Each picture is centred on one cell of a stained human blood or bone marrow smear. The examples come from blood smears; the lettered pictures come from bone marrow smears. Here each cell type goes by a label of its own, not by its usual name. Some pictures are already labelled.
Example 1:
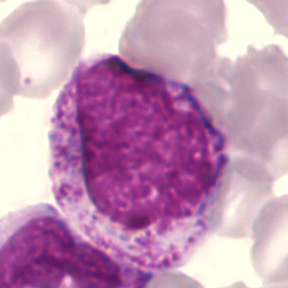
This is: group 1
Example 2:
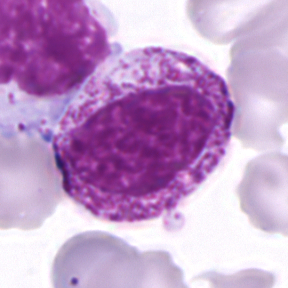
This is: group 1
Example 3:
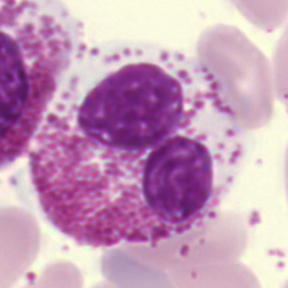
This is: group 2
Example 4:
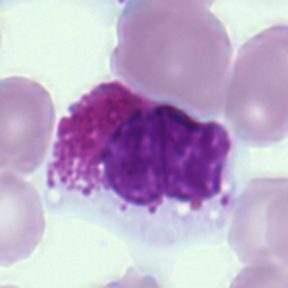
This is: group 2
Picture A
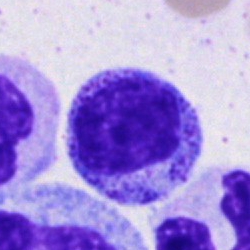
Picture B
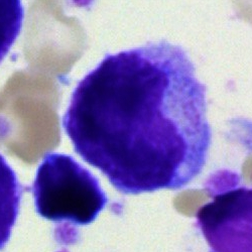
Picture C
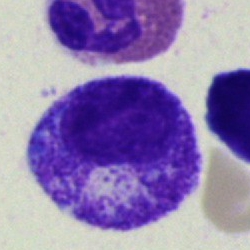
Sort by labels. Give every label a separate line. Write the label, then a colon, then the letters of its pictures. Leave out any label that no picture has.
group 1: A, B, C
